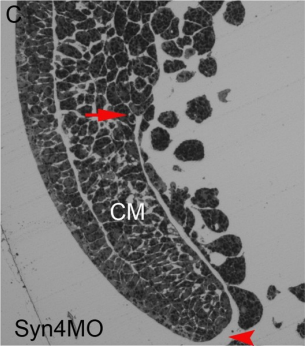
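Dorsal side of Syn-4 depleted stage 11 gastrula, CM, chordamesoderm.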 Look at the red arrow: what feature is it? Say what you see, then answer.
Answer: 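Tip of archenteron. The arrow points to the upper end of a cleft separating the inner cell mass from the outer loose cells.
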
